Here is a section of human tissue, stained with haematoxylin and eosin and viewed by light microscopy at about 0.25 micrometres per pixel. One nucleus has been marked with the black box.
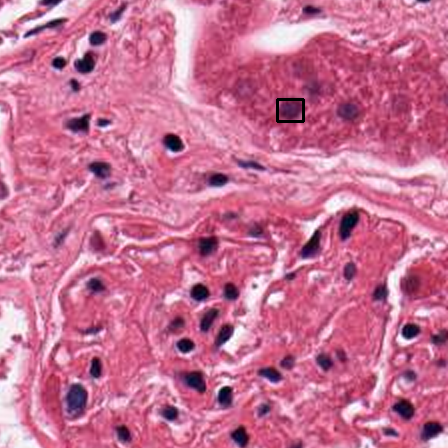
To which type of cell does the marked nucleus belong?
proximal tubule cell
